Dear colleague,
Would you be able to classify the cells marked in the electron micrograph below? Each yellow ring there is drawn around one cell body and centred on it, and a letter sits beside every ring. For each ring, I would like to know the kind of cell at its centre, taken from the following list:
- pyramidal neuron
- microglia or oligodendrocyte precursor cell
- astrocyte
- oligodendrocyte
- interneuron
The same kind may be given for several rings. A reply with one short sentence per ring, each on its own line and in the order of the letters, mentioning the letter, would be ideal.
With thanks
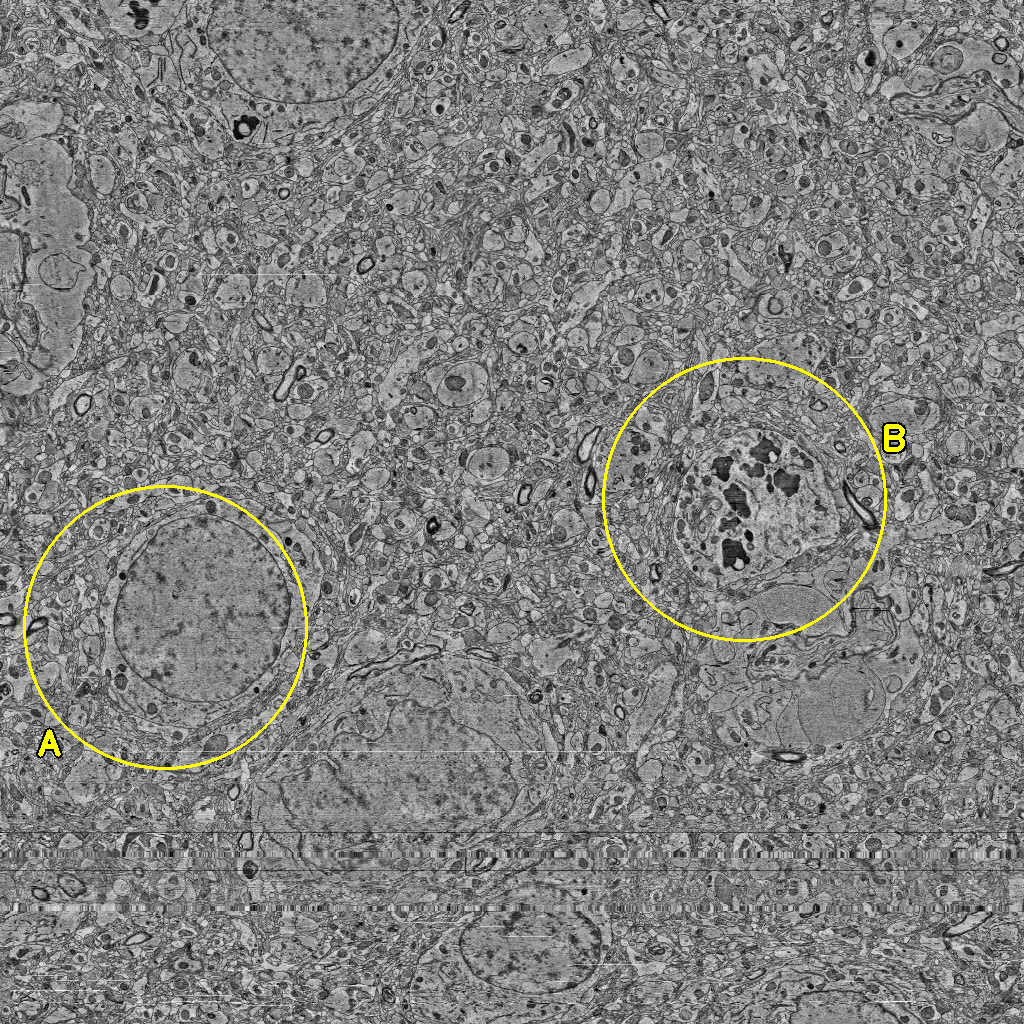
Ring A contains a pyramidal neuron at its centre.
Ring B contains an interneuron at its centre.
